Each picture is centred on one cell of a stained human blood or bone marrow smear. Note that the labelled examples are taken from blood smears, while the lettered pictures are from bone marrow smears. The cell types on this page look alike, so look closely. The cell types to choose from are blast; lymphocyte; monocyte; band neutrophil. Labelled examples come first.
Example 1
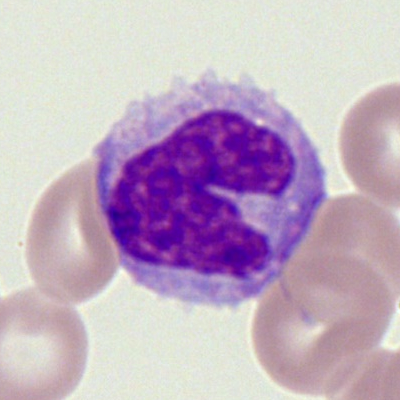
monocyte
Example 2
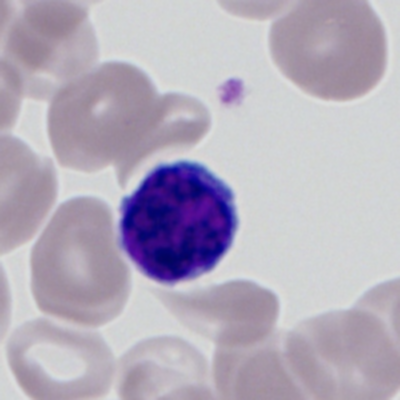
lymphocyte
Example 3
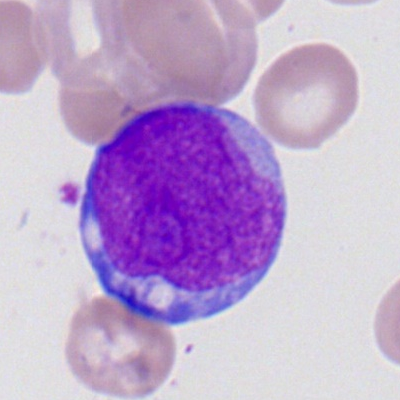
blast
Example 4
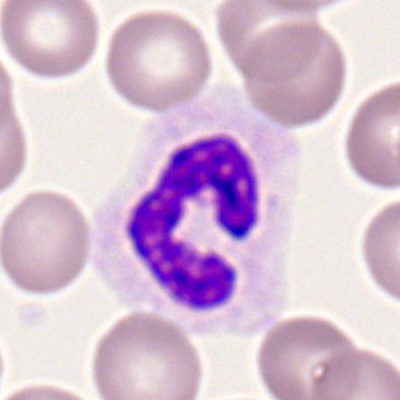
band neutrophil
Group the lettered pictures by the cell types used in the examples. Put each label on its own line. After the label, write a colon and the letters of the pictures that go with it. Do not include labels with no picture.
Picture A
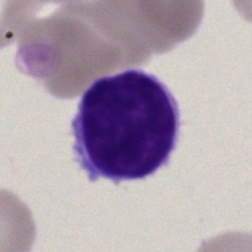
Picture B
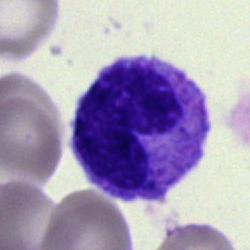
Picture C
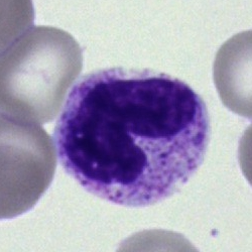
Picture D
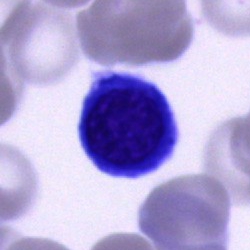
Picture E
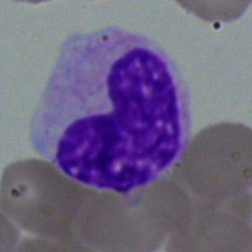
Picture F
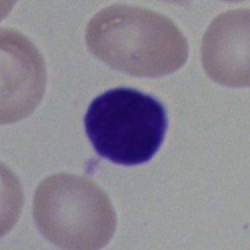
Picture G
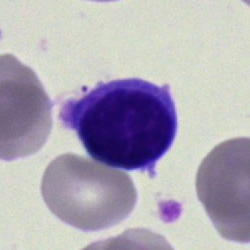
lymphocyte: A, D, F, G
band neutrophil: B, C, E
